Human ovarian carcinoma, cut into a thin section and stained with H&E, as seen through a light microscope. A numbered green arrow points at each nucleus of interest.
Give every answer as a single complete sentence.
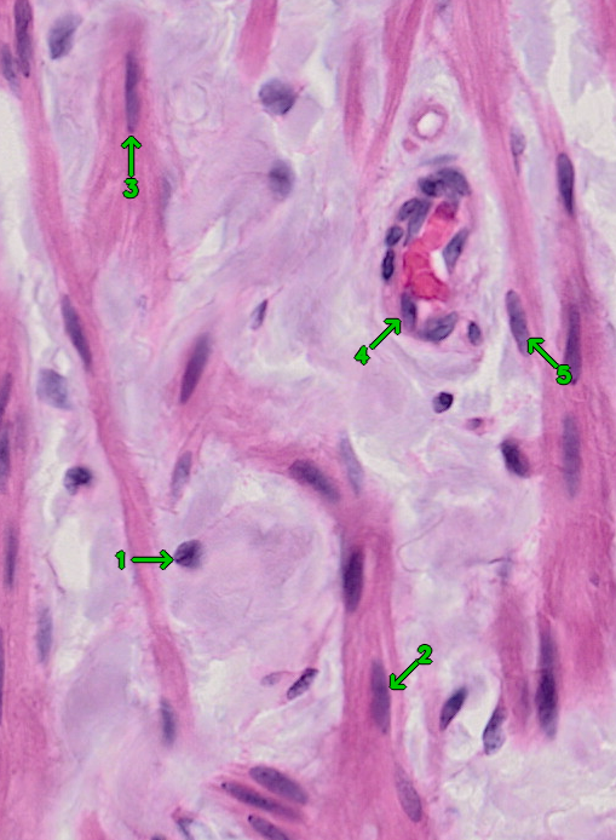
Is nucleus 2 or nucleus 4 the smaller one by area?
Nucleus 4 covers less area, with nucleus 2 about 2.5 times as large.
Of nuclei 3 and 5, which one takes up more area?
Nucleus 5 is the larger one, covering about 1.5 times the area of nucleus 3.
